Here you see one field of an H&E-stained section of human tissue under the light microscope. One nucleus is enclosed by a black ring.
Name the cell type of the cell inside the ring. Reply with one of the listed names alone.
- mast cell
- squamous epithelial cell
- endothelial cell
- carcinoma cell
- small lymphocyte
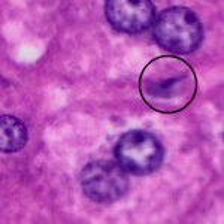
endothelial cell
